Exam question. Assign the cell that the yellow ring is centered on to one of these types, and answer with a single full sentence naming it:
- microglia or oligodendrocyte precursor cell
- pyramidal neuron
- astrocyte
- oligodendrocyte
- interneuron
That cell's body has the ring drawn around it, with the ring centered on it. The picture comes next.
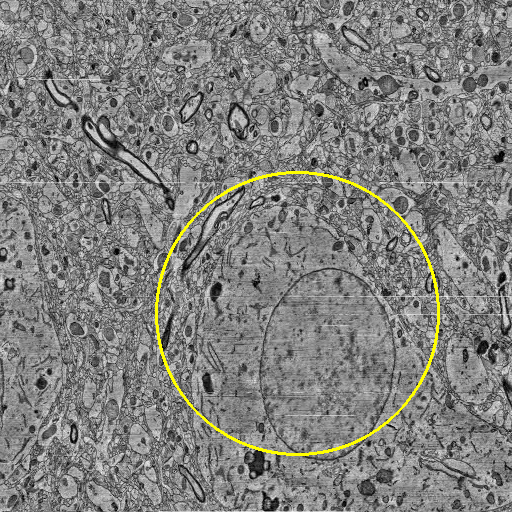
In the micrograph, the cell the yellow ring is centered on is a pyramidal neuron.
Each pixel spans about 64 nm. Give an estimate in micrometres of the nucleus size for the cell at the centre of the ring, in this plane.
Approximately 13 by 9 micrometers in this plane.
